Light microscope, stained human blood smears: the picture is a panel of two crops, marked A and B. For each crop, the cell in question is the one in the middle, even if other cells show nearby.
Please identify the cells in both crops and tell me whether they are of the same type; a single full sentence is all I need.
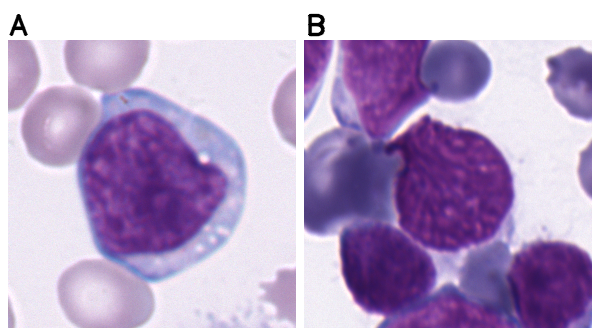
Yes, myeloblasts lie at the centre of both crops.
